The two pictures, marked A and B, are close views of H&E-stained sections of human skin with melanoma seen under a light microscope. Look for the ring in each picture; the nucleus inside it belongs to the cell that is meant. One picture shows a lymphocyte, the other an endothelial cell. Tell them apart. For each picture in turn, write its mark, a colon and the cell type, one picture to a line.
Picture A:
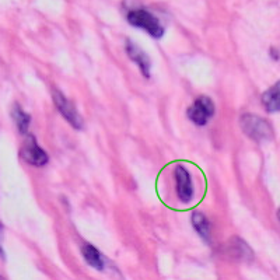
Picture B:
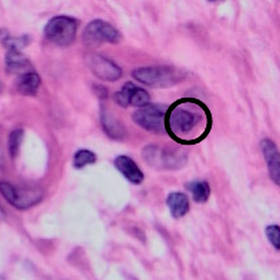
A: lymphocyte
B: endothelial cell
